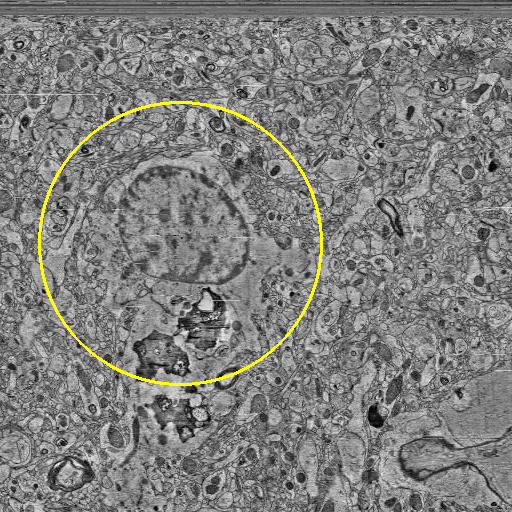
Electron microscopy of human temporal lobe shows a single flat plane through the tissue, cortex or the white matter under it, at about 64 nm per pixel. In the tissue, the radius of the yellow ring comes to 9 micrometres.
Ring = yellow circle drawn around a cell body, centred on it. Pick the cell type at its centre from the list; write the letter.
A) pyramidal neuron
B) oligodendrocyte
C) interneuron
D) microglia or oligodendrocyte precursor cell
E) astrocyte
E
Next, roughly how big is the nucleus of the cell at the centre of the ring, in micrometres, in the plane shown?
The nucleus is approximately 9 micrometers long by 7 micrometers wide in this plane.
